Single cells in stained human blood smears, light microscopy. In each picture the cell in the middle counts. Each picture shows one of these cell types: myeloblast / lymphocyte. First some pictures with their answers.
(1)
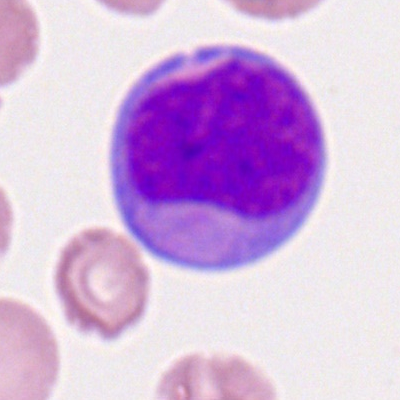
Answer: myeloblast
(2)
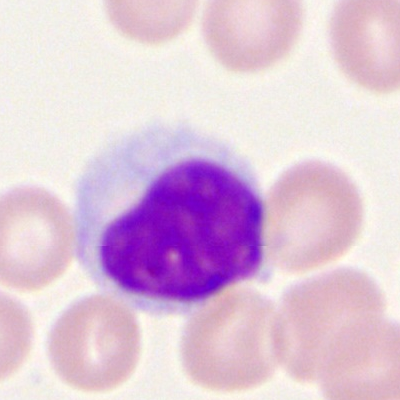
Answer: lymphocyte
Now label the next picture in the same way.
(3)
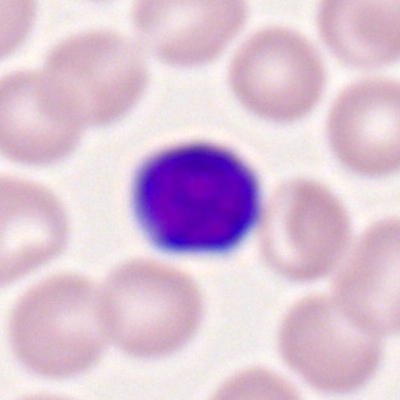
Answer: lymphocyte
